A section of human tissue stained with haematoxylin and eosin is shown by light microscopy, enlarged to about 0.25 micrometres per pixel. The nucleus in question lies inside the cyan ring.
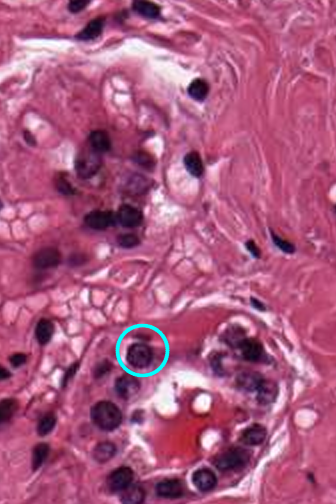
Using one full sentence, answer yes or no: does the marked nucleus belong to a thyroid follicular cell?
Yes, the marked nucleus is a part of a thyroid follicular cell.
